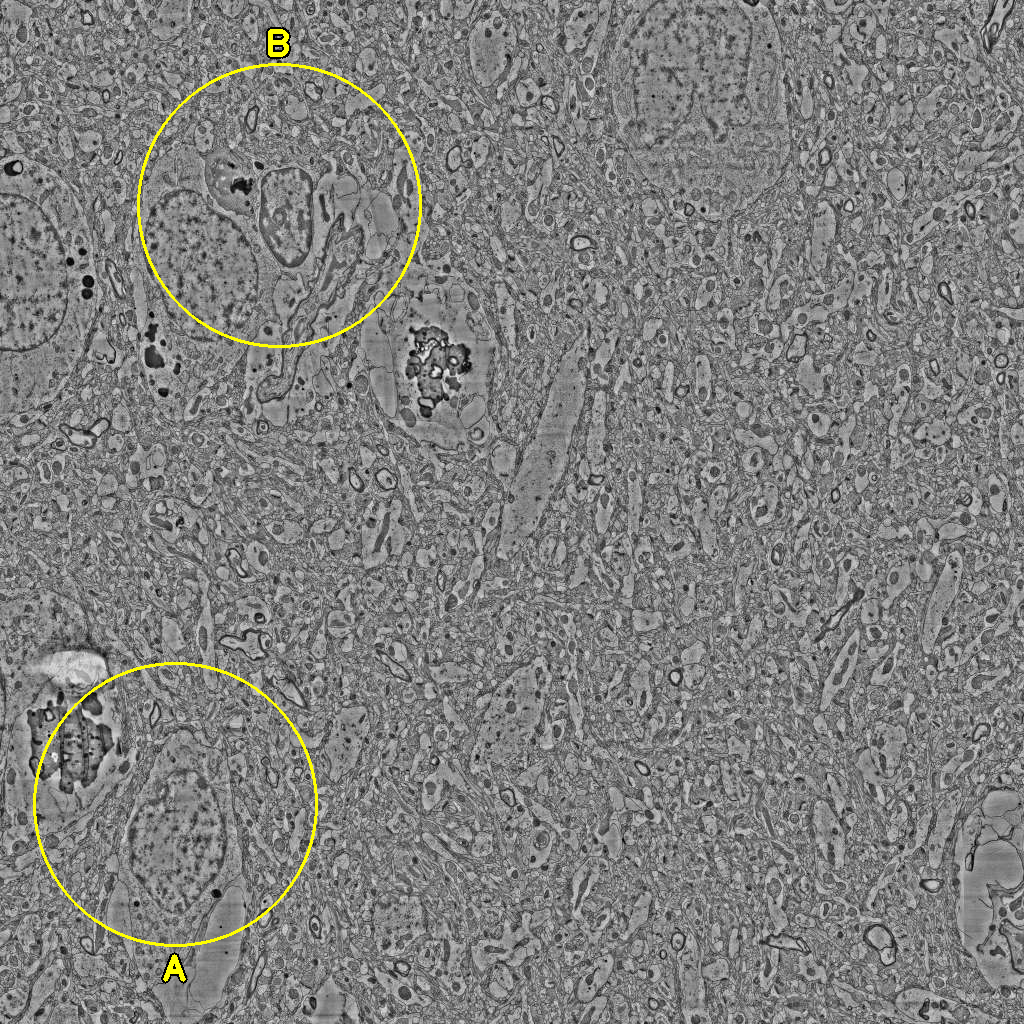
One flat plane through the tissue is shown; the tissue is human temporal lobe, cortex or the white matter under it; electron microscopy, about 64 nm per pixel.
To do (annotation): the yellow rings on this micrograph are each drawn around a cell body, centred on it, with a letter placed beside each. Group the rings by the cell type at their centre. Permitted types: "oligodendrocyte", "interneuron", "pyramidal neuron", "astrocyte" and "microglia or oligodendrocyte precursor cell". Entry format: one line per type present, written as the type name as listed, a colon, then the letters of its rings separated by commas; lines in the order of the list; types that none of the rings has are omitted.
interneuron: A
microglia or oligodendrocyte precursor cell: B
